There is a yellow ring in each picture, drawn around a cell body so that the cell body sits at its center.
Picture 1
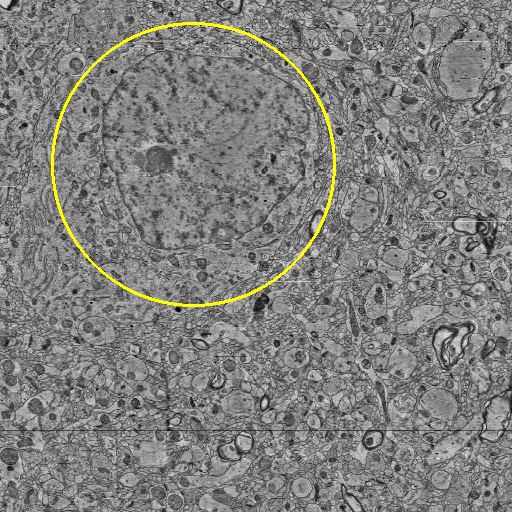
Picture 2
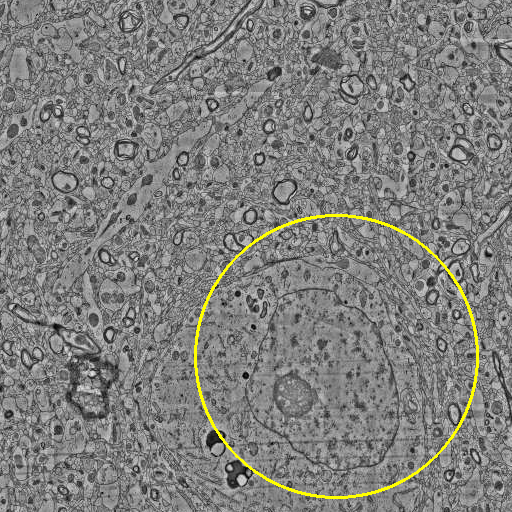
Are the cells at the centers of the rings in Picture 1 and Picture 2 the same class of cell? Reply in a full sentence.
No, the two cells are two classes of cell.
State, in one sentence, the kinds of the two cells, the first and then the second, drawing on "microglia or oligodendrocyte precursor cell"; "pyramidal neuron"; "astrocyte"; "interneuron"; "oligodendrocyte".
The ring in the second picture is centred on a pyramidal neuron, the ring in the first on an interneuron.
